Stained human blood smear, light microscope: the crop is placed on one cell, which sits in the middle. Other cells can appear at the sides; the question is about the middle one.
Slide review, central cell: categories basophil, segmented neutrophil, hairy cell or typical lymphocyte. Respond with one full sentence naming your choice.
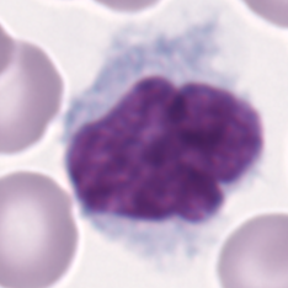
Within this crop, a hairy cell occupies the central position.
